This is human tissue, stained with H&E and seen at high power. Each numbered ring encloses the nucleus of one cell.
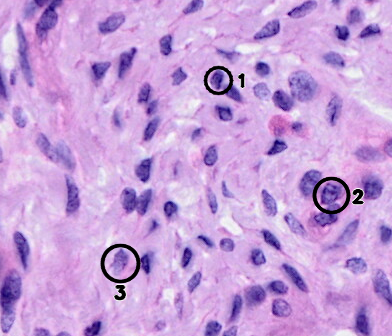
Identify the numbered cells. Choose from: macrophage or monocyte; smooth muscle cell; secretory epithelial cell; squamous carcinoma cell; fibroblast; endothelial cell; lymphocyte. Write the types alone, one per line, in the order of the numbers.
fibroblast
endothelial cell
fibroblast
